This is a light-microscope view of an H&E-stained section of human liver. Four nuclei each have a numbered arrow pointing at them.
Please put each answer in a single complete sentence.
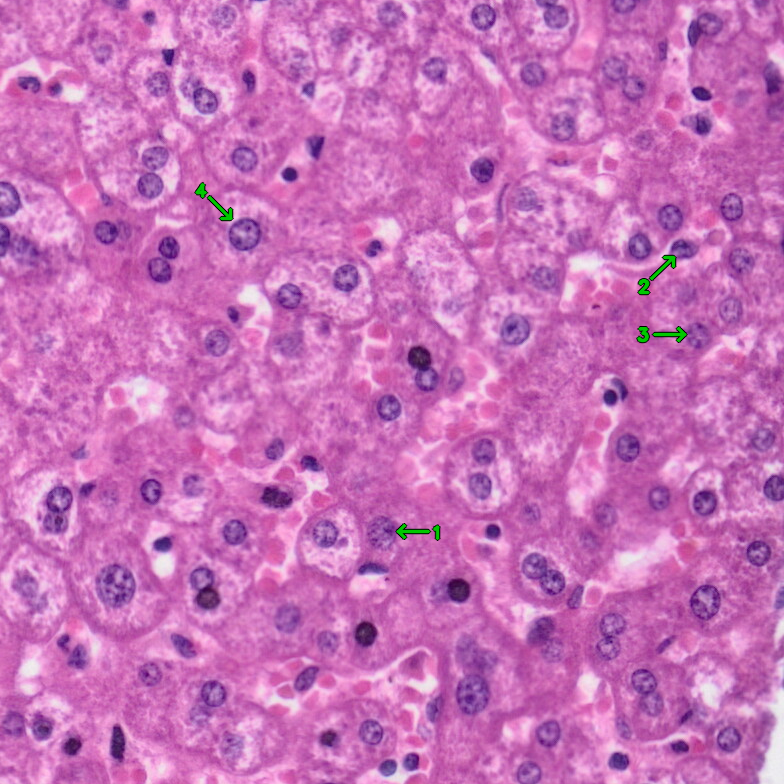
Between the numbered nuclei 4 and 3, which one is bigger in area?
The larger nucleus is 4, at roughly 2 times the area of 3.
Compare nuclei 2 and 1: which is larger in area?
Of the two, number 1 is bigger and takes up about 1.5 times the area of number 2.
